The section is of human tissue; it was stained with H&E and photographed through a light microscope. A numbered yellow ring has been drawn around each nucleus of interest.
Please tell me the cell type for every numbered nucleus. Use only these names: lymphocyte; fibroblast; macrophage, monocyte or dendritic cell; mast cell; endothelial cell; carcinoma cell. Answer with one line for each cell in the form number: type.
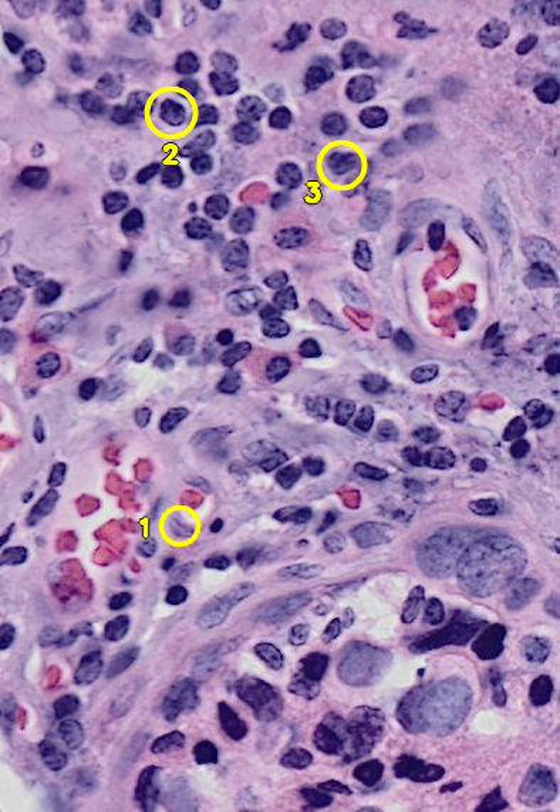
1: endothelial cell
2: lymphocyte
3: lymphocyte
